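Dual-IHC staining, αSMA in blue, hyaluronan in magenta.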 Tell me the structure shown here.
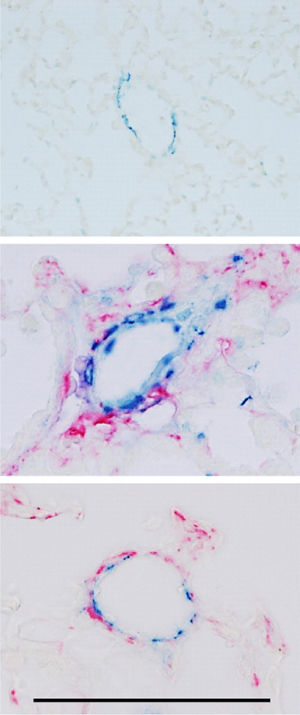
Arterioles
